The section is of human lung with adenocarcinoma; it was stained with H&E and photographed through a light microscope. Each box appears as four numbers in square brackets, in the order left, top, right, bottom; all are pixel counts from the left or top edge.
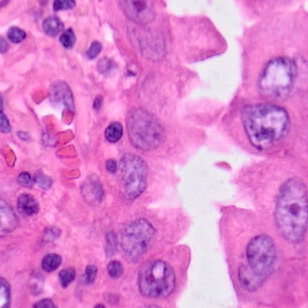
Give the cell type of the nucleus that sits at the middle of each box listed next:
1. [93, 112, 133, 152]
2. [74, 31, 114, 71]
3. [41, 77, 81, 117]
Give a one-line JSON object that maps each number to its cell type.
{"1": "lymphocyte", "2": "lymphocyte", "3": "endothelial cell"}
